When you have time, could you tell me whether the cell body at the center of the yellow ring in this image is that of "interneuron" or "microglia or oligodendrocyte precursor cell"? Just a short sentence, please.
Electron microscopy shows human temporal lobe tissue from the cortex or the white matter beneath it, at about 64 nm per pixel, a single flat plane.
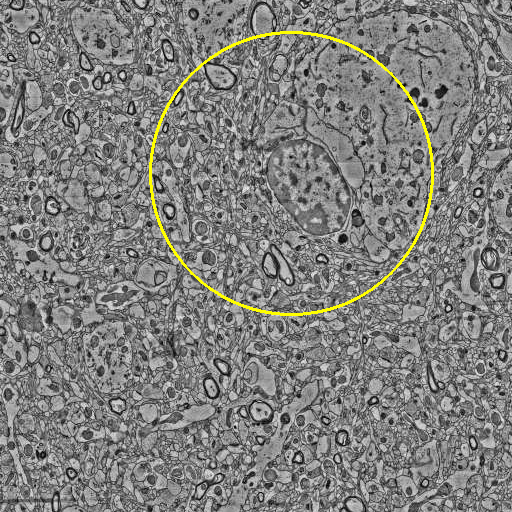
The cell body at the center of the ring is that of a microglial cell or oligodendrocyte precursor cell.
